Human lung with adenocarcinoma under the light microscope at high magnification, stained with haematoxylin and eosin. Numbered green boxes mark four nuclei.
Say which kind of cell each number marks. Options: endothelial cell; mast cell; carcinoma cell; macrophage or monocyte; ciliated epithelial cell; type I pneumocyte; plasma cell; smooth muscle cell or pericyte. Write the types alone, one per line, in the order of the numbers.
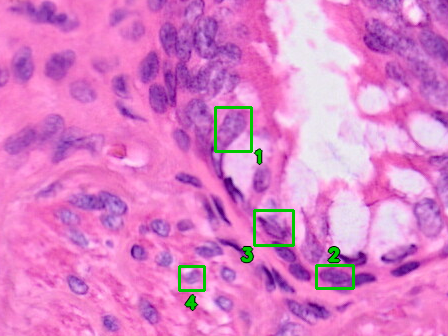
ciliated epithelial cell
ciliated epithelial cell
ciliated epithelial cell
smooth muscle cell or pericyte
